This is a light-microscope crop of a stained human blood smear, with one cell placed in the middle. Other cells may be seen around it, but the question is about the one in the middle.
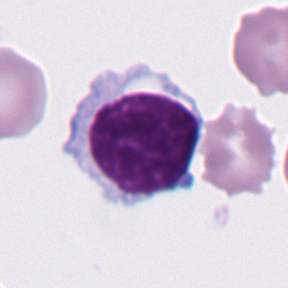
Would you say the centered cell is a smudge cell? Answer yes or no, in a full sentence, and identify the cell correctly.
No, it is not a smudge cell that sits at the centre but a typical lymphocyte.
